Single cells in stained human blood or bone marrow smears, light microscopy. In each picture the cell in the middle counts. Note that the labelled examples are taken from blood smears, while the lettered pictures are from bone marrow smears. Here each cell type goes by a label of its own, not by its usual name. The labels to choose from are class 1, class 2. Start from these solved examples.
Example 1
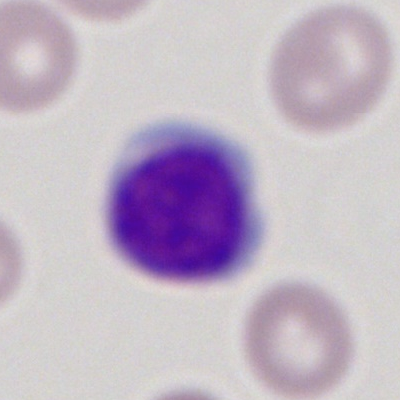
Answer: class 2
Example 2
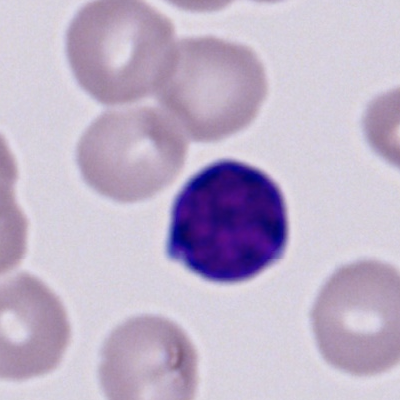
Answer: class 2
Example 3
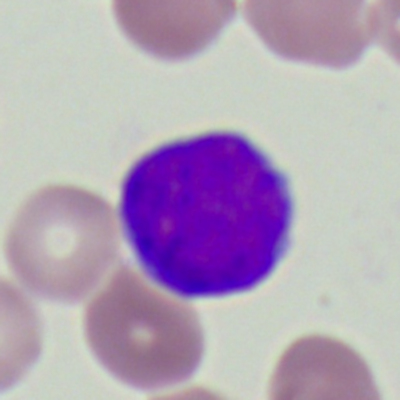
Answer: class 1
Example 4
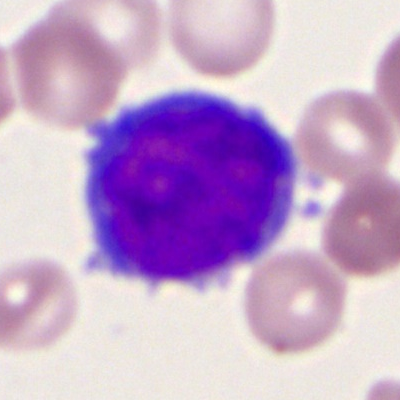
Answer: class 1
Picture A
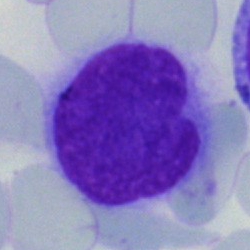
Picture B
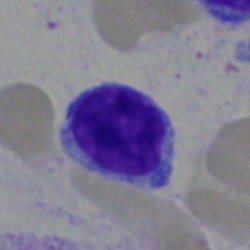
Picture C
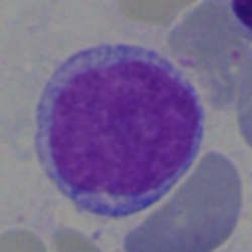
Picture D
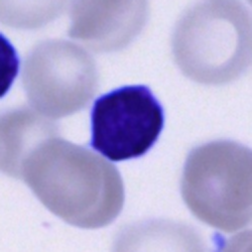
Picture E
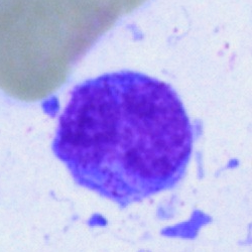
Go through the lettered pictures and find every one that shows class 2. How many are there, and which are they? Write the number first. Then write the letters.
2: B, D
